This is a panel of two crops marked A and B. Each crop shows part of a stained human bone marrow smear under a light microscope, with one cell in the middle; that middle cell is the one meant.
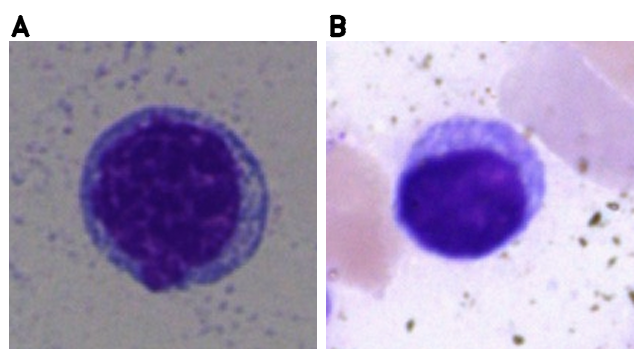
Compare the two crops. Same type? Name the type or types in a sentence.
Yes, the central cells, in both crops, are lymphocytes.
